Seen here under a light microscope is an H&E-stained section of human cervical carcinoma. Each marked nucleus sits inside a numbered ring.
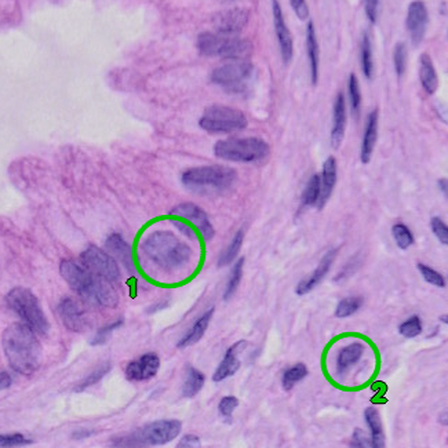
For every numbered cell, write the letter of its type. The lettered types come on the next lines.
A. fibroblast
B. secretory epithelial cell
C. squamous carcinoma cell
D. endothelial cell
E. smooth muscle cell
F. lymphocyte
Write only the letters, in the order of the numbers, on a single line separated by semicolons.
B; A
